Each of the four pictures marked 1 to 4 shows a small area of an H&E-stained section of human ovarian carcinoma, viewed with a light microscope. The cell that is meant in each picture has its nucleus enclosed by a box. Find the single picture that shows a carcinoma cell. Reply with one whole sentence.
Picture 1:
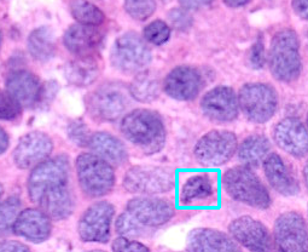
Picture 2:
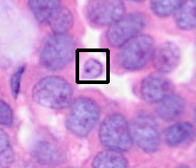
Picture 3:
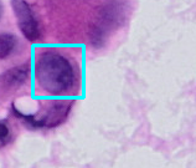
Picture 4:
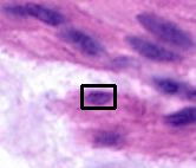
Picture 3 shows the carcinoma cell.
